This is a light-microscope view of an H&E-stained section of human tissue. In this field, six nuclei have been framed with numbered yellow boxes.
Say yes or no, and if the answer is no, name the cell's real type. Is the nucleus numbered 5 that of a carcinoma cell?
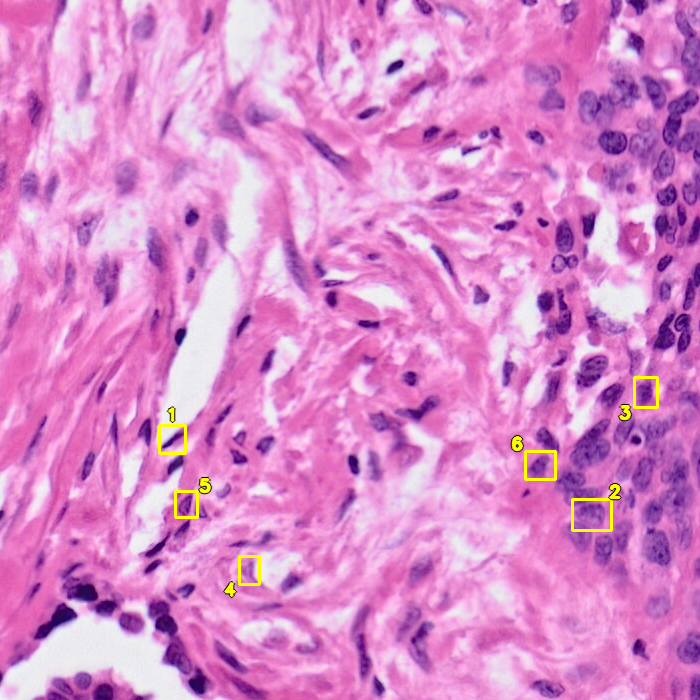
No, it is a fibroblast.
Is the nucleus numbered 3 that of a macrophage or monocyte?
Yes.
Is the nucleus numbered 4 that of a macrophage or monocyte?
No, it is a fibroblast.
